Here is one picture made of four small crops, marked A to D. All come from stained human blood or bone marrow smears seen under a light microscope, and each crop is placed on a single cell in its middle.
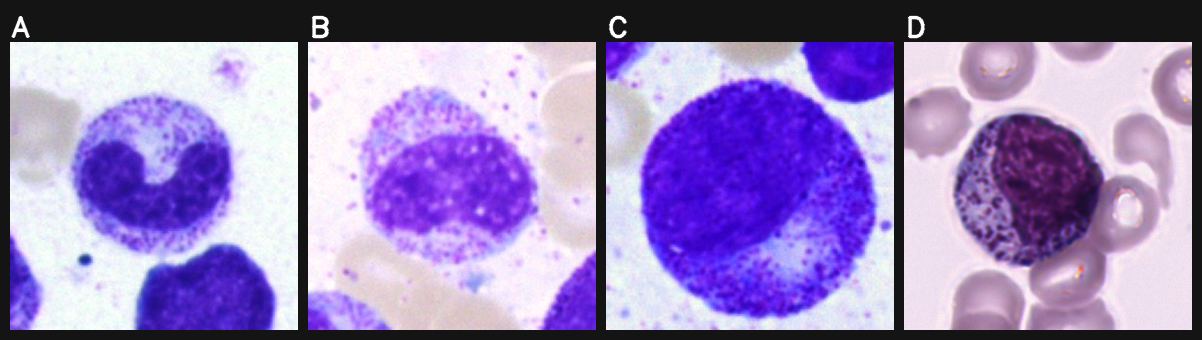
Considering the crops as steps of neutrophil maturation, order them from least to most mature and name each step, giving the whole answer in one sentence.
Ranked from the least mature cell to the most mature, they are crop C (a promyelocyte), crop D (a myelocyte), crop B (a metamyelocyte) and crop A (a band neutrophil).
